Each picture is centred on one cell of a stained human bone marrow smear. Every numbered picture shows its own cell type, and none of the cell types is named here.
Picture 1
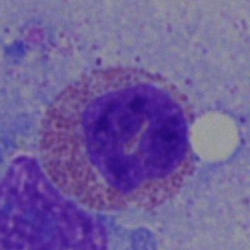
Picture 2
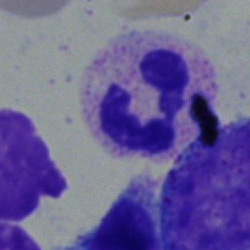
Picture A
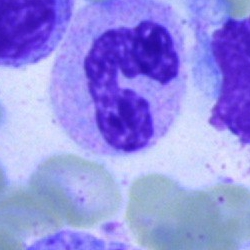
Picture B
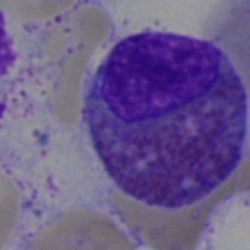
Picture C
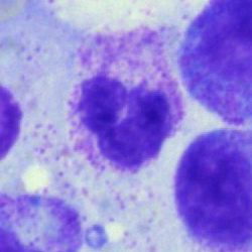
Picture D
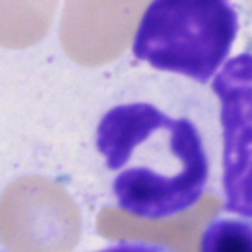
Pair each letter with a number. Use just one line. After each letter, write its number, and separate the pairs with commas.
A 2, B 1, C 2, D 2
